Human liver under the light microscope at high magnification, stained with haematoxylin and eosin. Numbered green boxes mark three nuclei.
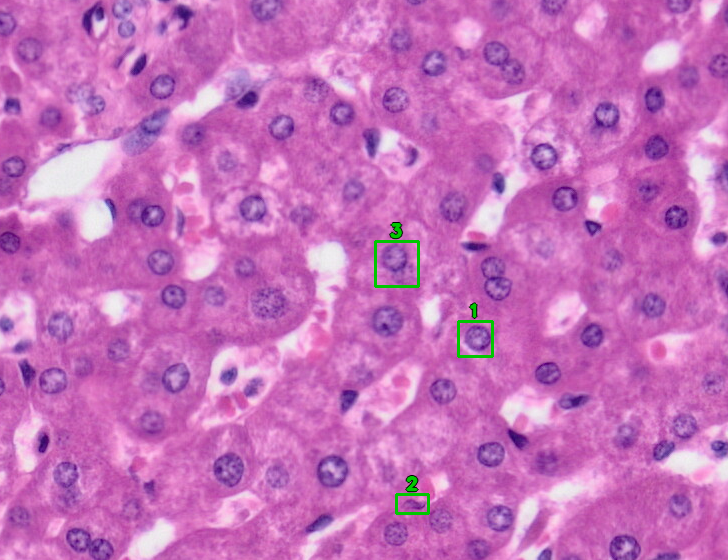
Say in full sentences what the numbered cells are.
Cells 1 and 3 are hepatocytes. Cell 2 is an endothelial cell.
